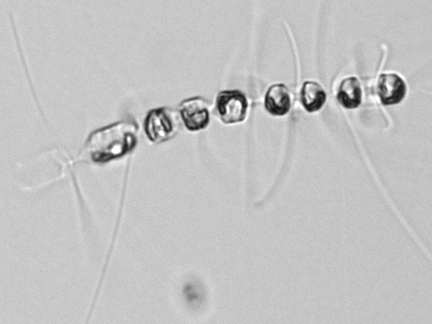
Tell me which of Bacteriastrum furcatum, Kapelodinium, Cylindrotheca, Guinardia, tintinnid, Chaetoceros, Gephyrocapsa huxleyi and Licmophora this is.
The picture shows Chaetoceros.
